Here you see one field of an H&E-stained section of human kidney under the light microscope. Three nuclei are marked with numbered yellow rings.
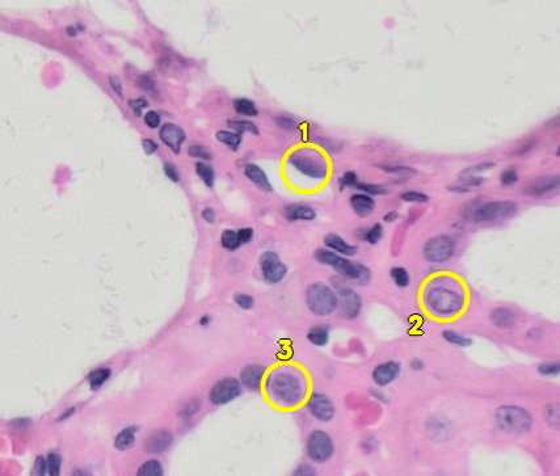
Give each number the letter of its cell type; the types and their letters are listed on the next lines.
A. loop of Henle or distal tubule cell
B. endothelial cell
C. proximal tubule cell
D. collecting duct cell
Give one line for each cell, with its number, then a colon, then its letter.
1: B
2: D
3: D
